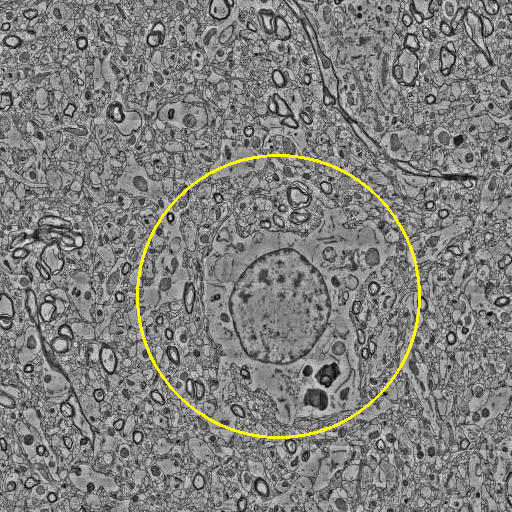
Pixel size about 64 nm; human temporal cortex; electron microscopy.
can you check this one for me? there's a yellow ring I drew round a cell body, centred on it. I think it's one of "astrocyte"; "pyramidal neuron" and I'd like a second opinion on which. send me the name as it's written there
astrocyte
